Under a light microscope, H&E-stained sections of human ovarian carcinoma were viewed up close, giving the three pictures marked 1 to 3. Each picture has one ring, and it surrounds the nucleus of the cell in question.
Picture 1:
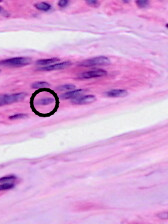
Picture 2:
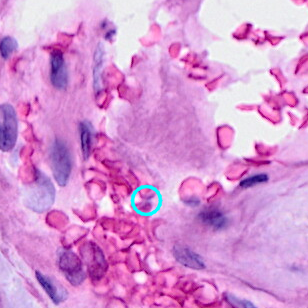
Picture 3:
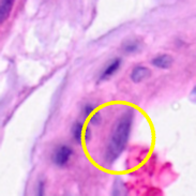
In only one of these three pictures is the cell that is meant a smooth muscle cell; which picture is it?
1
